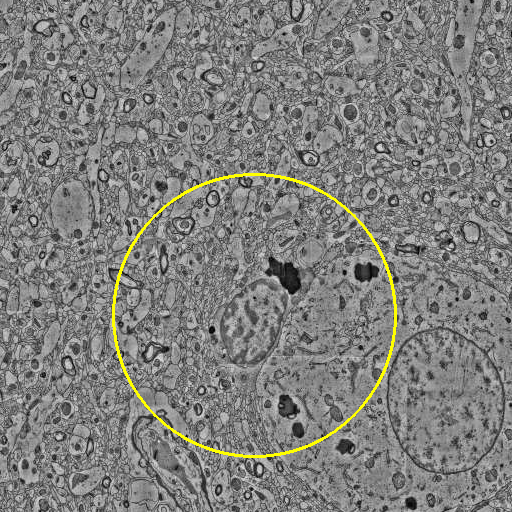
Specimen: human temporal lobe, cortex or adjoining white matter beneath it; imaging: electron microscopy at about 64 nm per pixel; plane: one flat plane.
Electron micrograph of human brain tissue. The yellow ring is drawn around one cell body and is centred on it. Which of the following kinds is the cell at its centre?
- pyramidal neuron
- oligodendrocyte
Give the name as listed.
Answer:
oligodendrocyte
